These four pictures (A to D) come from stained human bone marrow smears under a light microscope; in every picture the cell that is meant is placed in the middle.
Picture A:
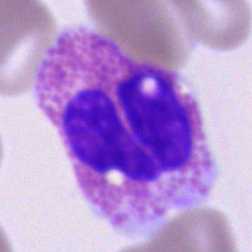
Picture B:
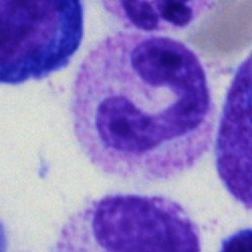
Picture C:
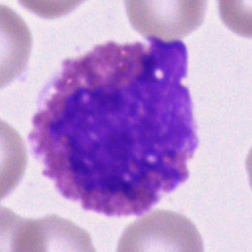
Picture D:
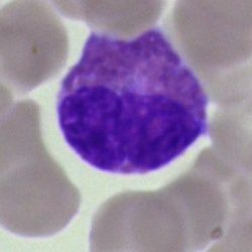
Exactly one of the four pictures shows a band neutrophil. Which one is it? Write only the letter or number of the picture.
B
